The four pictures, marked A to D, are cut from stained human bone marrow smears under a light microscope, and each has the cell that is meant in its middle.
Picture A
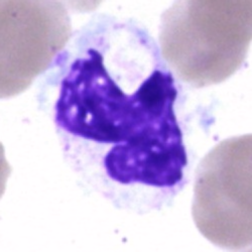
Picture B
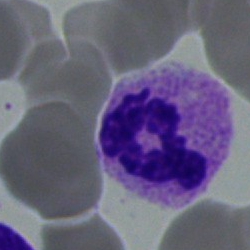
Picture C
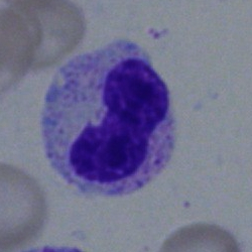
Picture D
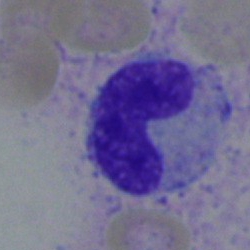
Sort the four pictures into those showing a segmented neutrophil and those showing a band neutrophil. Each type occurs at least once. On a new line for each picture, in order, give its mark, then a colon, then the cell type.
A: segmented neutrophil
B: segmented neutrophil
C: band neutrophil
D: band neutrophil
